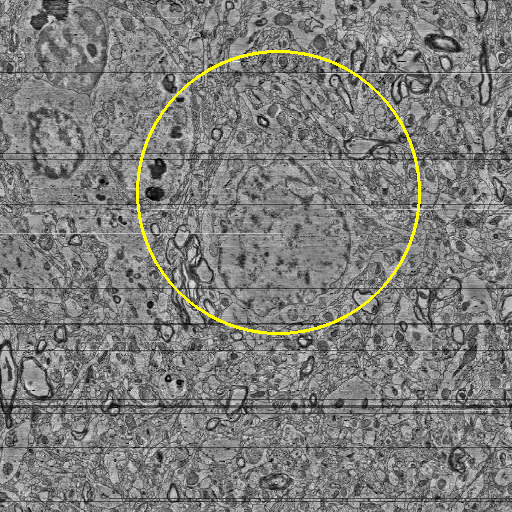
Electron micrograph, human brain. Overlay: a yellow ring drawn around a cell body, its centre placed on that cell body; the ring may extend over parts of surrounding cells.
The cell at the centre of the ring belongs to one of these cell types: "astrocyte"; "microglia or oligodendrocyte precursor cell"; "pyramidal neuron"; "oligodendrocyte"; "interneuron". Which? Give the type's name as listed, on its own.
interneuron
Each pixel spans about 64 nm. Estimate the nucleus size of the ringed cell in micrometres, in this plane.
Approximately 9 micrometres across in this plane.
